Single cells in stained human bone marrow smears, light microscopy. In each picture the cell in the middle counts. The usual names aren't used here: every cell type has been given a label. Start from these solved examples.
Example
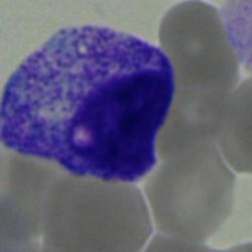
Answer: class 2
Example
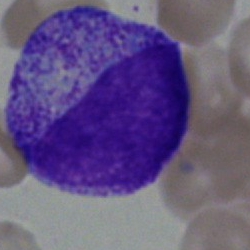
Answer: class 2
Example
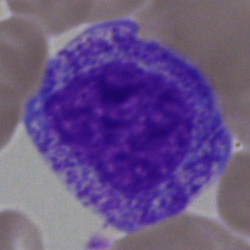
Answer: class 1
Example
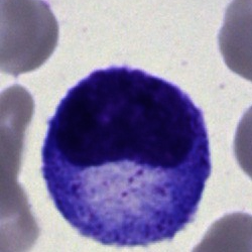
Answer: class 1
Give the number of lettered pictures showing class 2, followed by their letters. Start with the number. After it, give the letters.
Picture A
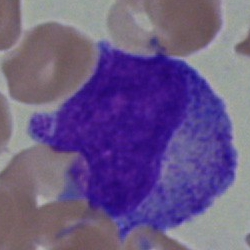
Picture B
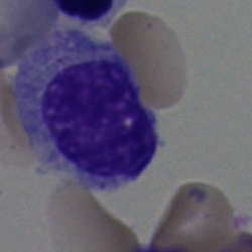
2: A, B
